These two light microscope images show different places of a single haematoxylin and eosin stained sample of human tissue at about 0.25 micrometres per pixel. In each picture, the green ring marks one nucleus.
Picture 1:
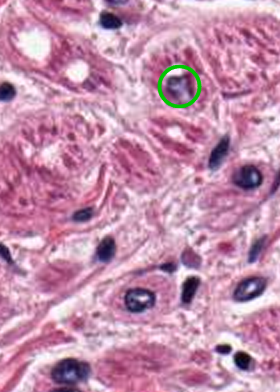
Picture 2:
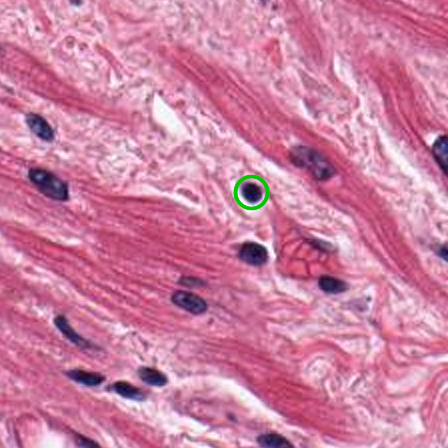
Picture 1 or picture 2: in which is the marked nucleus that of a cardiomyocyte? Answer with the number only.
1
